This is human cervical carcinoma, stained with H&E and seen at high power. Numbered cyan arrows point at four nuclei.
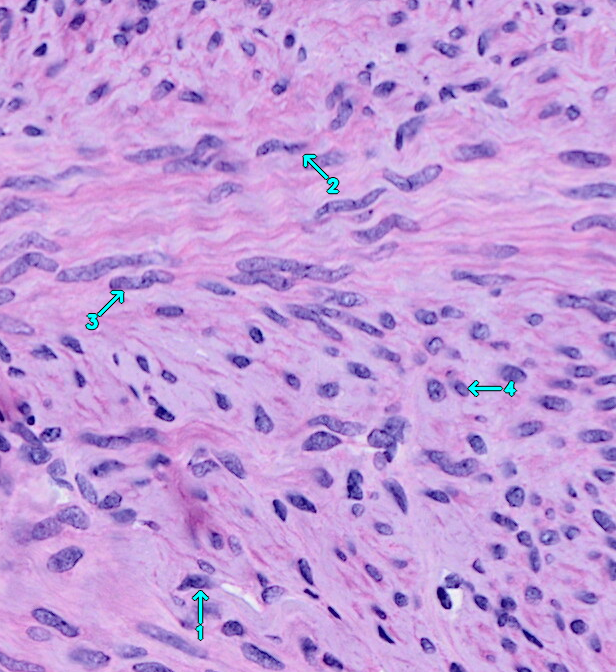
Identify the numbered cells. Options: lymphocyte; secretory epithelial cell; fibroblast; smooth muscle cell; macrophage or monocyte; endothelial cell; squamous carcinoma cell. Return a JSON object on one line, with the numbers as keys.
{"1": "fibroblast", "2": "smooth muscle cell", "3": "smooth muscle cell", "4": "smooth muscle cell"}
